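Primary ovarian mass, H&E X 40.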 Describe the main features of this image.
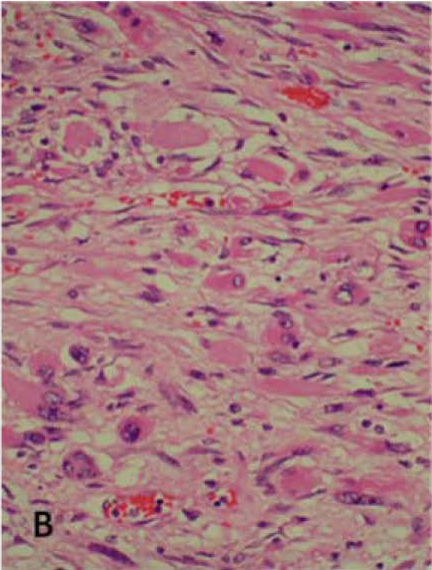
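Loose stromal tissue contains scattered rhabdomyoblasts, round, polygonal and elongated cells with abundant bright pink cytoplasm. Their nuclei are round to oval and often lie at the edge of the cell. Between them are spindle-shaped stromal cells with dark elongated nuclei and small vessels filled with red blood cells.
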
